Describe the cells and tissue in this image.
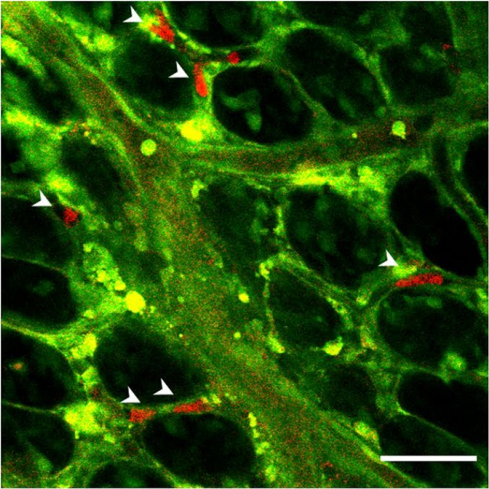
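Colonic mucosa seen face-on, with crypts appearing as regular dark oval spaces packed in a honeycomb-like pattern. Each crypt is ringed by a green network of fine branching blood vessels; a wider green vessel crosses the field diagonally. Small red cells lie within the narrow green channels between crypts, marked by white arrowheads; several are drawn out into elongated shapes, fitting the width of the channels they occupy. Scattered bright yellow-green rounded dots lie along the vessel network. Red speckles are also faintly dispersed over the broad diagonal vessel.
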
